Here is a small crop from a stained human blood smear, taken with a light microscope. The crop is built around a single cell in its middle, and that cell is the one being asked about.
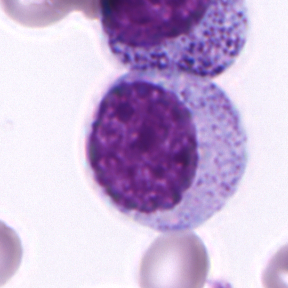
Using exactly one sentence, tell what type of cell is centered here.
What sits at the centre of this crop is a myelocyte.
